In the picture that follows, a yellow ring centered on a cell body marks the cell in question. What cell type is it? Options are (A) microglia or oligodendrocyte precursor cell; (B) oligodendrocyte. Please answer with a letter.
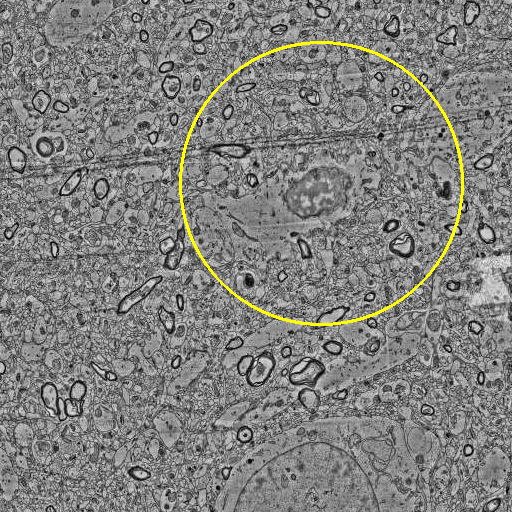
A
